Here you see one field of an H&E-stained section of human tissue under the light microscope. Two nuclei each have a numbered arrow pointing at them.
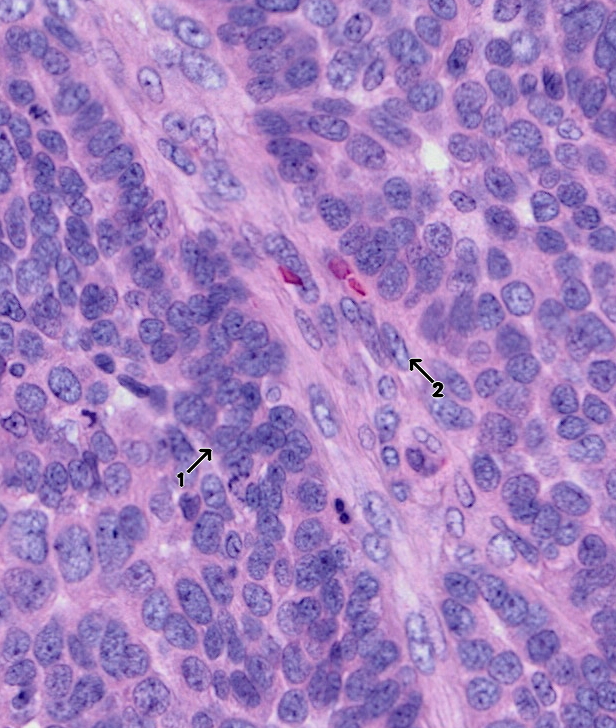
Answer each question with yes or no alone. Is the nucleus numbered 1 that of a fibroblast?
no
